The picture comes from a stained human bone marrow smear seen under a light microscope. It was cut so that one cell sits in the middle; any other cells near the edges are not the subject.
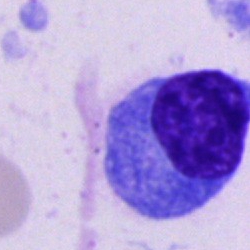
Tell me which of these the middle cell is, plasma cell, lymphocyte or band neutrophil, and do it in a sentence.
For this crop, the cell in the middle is a plasma cell.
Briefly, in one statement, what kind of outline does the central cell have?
In short, the margin is smooth with no projections at all.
